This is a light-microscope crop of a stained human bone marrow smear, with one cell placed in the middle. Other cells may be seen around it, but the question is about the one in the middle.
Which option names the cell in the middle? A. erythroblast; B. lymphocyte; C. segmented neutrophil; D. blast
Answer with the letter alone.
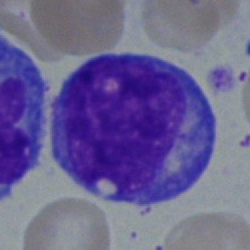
D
